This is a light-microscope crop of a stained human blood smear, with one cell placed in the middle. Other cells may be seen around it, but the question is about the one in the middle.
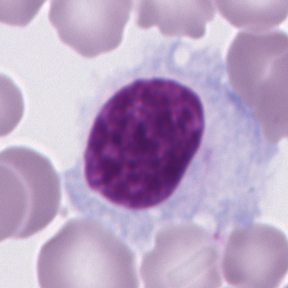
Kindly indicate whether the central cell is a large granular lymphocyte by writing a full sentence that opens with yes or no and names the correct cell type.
No, the cell under consideration is a hairy cell instead of a large granular lymphocyte.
